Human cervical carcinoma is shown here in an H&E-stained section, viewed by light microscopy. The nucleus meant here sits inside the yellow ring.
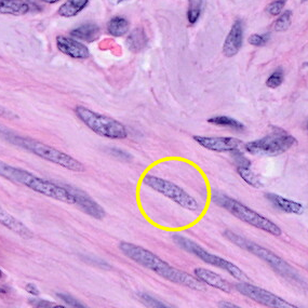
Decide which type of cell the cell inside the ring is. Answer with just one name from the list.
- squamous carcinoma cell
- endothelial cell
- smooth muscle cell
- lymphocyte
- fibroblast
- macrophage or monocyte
smooth muscle cell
